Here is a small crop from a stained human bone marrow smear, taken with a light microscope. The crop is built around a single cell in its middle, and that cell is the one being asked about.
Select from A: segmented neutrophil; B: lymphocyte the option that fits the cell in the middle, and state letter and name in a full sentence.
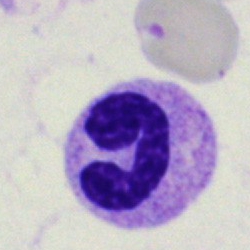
The correct choice is option A, which identifies the middle cell as a segmented neutrophil.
